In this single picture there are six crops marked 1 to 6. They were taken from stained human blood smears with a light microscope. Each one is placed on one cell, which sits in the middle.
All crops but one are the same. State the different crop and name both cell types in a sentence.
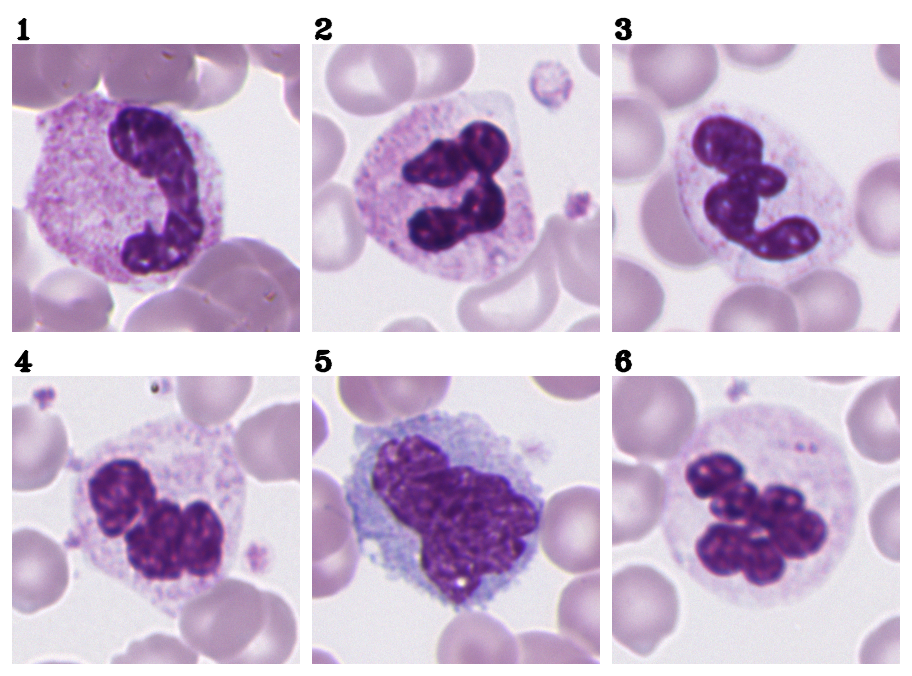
The different crop is crop 5, a monocyte; all the others show neutrophils.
